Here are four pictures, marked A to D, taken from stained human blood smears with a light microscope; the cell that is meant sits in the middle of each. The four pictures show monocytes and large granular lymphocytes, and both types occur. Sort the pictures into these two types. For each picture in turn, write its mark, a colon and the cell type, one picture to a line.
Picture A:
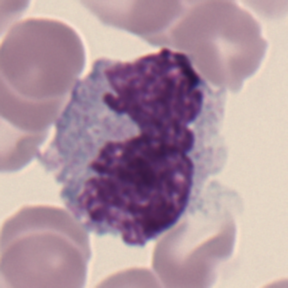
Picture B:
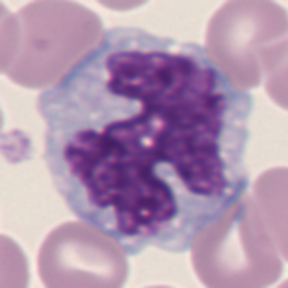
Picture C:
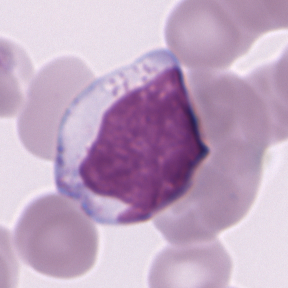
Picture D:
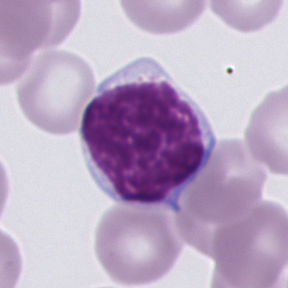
A: monocyte
B: monocyte
C: large granular lymphocyte
D: large granular lymphocyte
